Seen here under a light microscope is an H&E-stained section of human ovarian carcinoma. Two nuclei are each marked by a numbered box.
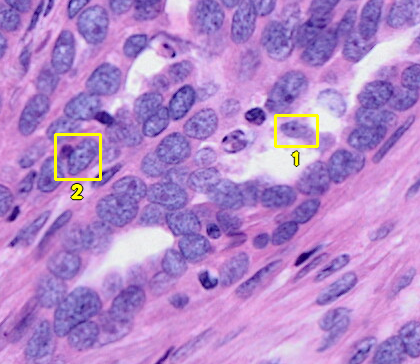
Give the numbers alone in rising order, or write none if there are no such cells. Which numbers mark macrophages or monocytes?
1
